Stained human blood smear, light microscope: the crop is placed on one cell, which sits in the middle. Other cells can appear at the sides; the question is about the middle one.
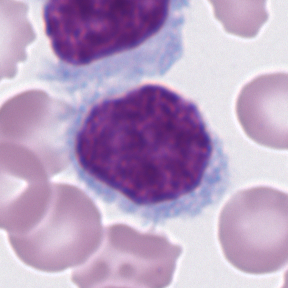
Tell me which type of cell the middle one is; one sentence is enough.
Occupying the centre of the crop is a hairy cell.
